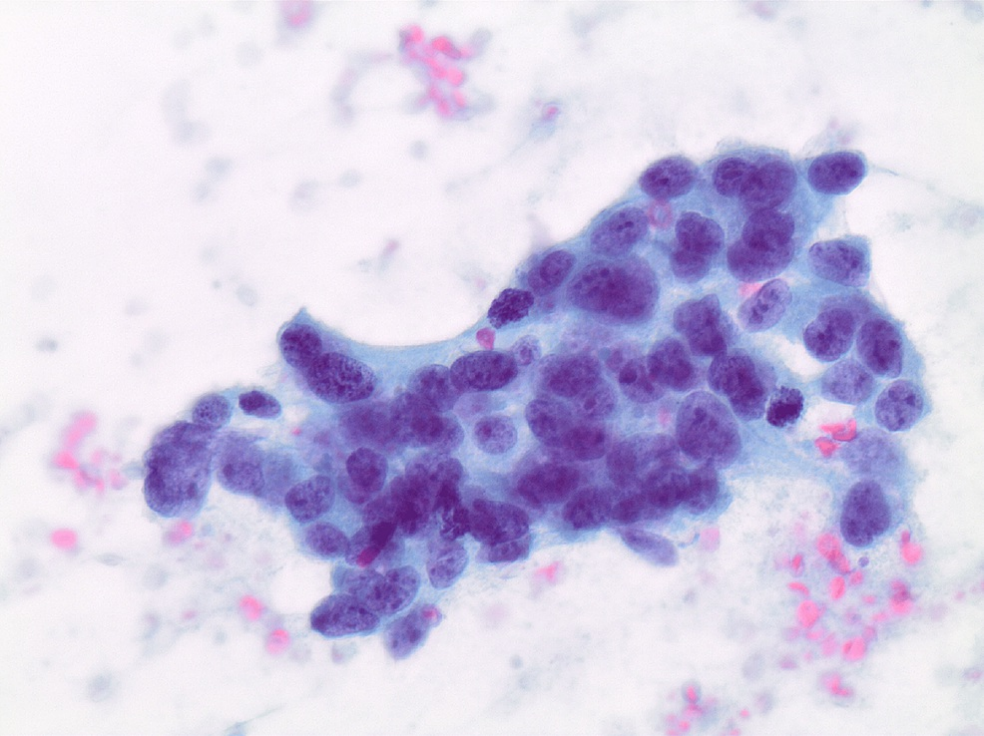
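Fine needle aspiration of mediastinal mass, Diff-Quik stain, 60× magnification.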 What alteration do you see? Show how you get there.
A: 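A cohesive three-dimensional cluster of large cells with crowded, overlapping nuclei. Nuclei are enlarged, oval to irregular, with coarse chromatin. Nuclei vary in size and take up most of each cell, with scant pale blue cytoplasm. The cluster is much larger than the surrounding red blood cells. That points to this answer: malignant cells.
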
